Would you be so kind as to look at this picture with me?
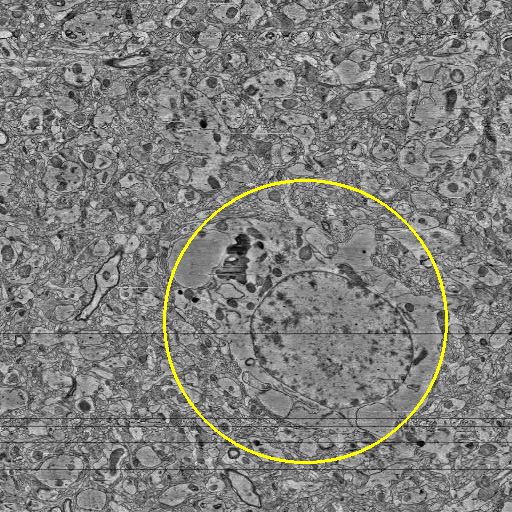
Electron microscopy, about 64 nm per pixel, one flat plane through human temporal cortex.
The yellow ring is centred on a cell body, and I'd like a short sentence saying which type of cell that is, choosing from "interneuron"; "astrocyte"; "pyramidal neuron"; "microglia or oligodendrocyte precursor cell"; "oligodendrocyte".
The cell body in the ring belongs to an astrocyte.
